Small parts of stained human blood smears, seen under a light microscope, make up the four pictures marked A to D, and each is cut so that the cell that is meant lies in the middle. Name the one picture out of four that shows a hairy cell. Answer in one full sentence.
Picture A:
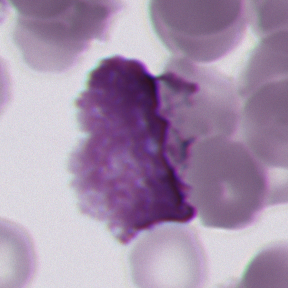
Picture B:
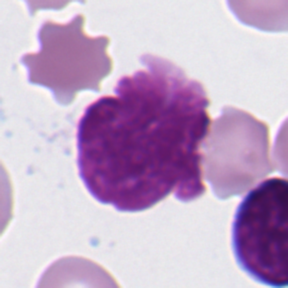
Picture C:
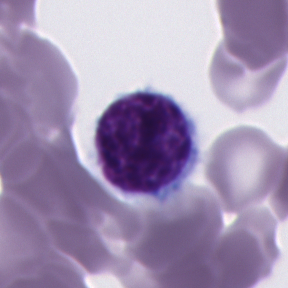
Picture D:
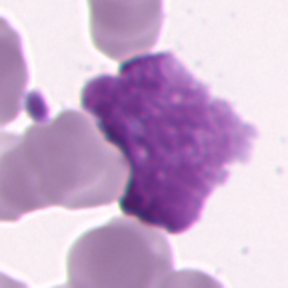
The cell in picture C is the hairy cell.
